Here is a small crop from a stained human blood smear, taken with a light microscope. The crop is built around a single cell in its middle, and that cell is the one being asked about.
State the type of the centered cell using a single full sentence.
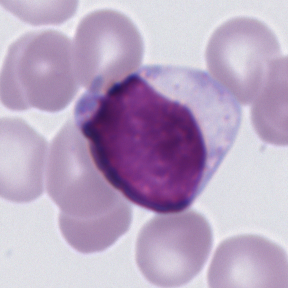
For this crop, the central cell is a large granular lymphocyte.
